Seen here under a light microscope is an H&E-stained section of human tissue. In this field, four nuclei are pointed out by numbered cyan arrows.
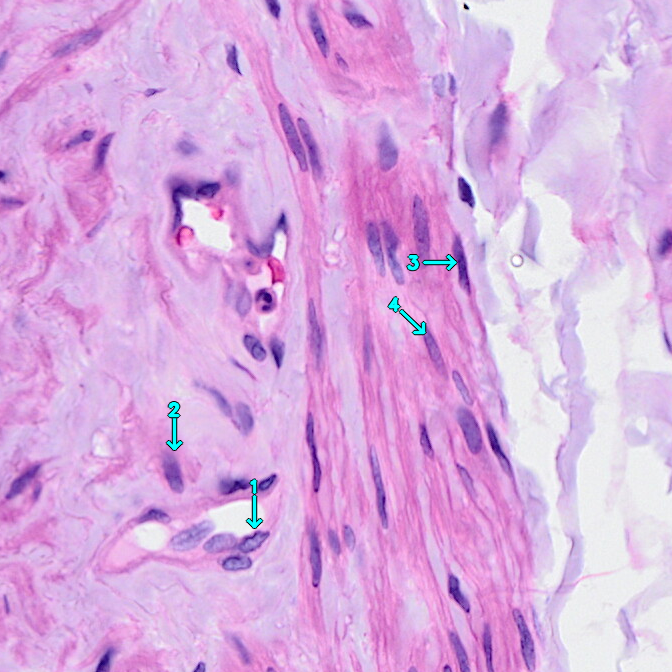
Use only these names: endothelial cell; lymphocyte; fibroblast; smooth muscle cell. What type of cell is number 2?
smooth muscle cell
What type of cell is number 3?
smooth muscle cell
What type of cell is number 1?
endothelial cell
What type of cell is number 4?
smooth muscle cell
